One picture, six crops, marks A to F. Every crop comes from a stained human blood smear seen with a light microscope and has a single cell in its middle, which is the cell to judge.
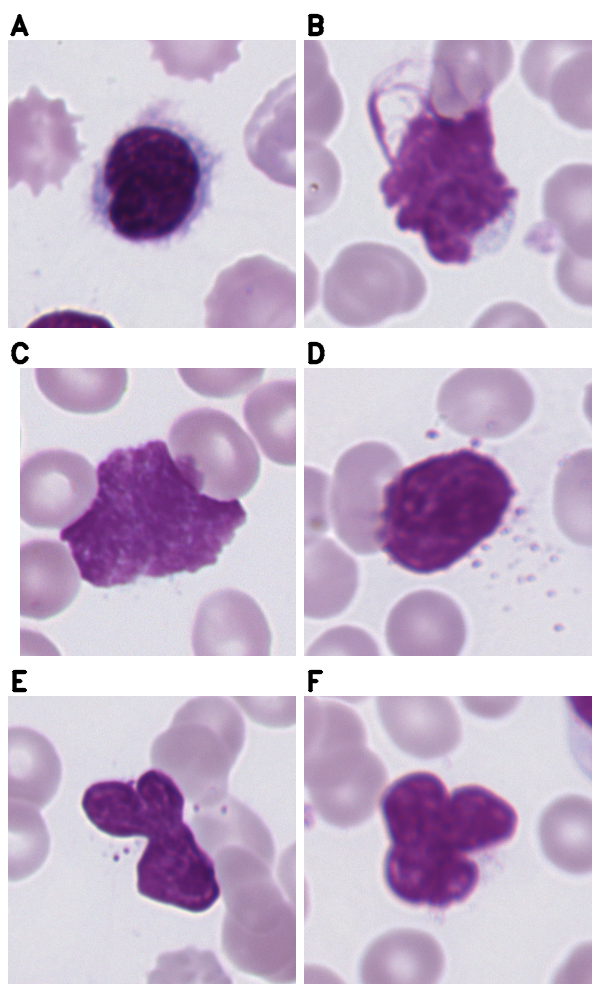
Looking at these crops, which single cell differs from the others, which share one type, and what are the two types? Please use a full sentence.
Whereas the other crops show smudge cells, crop A is a hairy cell.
